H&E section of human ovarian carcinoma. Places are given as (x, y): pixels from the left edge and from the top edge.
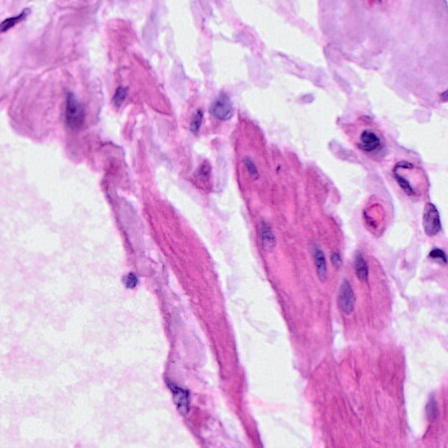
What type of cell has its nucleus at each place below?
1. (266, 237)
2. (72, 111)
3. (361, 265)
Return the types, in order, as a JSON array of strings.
["smooth muscle cell", "endothelial cell", "smooth muscle cell"]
